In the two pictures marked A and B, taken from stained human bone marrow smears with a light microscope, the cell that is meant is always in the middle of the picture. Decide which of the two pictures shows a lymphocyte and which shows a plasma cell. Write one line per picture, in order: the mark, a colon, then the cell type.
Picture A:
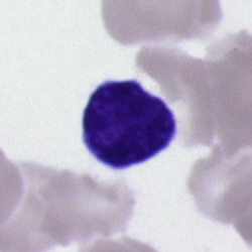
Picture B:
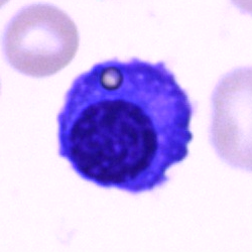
A: lymphocyte
B: plasma cell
